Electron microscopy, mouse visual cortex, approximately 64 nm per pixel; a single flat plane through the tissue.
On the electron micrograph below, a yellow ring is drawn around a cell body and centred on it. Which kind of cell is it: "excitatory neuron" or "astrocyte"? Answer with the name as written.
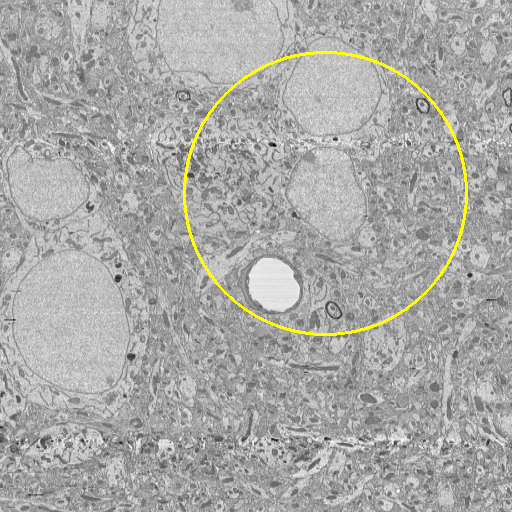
astrocyte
